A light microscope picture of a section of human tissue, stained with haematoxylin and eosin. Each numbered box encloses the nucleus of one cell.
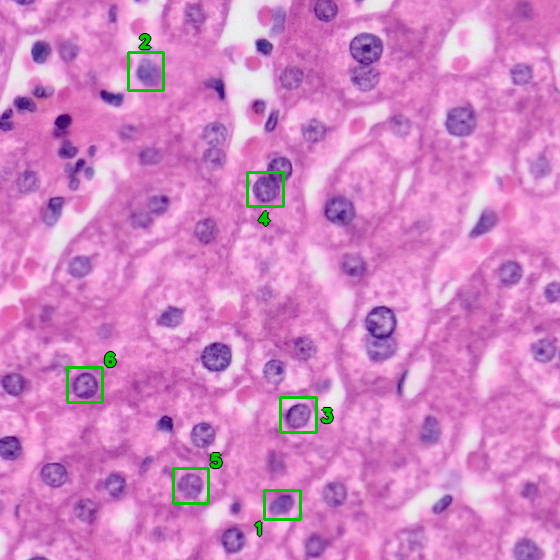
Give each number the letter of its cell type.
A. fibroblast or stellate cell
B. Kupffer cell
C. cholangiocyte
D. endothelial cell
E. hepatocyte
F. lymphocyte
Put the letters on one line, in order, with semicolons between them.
B; D; E; E; E; E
